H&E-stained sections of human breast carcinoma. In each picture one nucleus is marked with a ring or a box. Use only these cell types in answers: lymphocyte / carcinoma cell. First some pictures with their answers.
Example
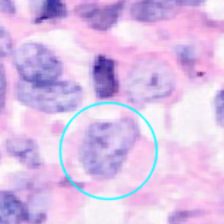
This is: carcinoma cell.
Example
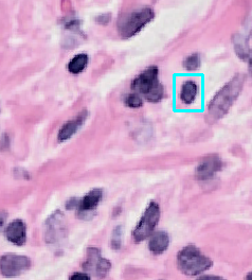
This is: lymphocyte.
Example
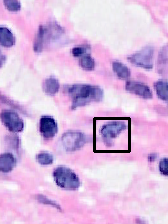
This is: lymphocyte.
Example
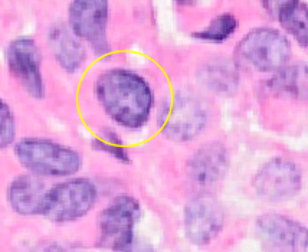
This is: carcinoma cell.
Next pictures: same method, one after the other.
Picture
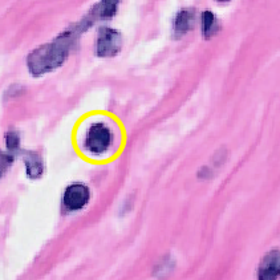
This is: lymphocyte.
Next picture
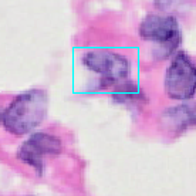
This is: carcinoma cell.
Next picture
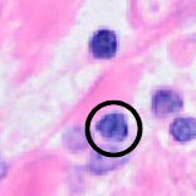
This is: lymphocyte.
